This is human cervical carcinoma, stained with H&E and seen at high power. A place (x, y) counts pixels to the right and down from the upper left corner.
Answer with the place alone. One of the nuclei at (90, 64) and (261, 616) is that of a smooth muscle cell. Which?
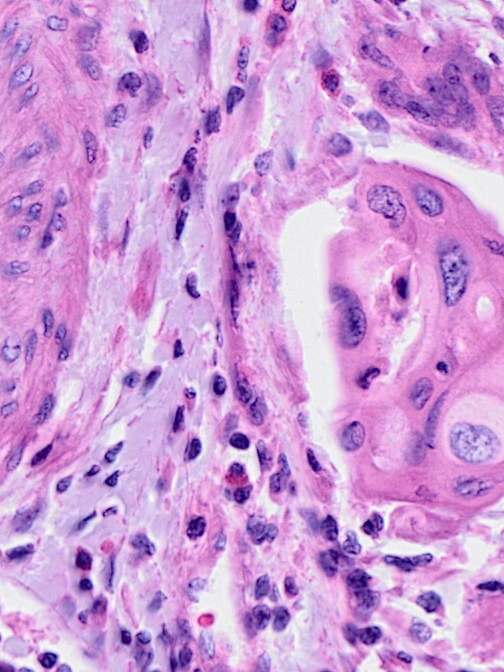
(90, 64)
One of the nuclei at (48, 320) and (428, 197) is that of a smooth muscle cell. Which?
(48, 320)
